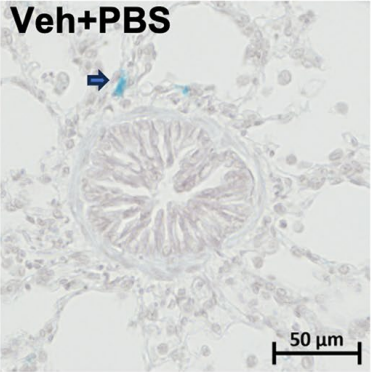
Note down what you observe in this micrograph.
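This lung section shows an airway in cross section with a few blue-stained mast cells near its wall. The airway is lined by a folded epithelium of tall columnar cells whose nuclei stain grey-purple. A thin, pale ring of connective tissue and muscle surrounds the epithelium. Small bright blue mast cells lie just outside this ring at its upper left. Around the airway the lung shows open alveolar spaces bounded by thin septa with scattered nuclei.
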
